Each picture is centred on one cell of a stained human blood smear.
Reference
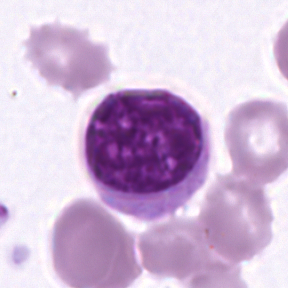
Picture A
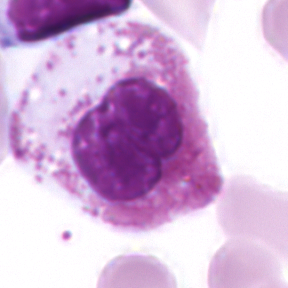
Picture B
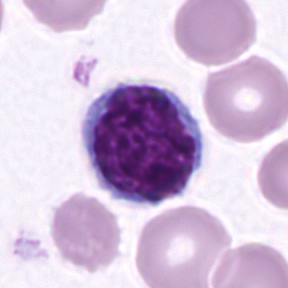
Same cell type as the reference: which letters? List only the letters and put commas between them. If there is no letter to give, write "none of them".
B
